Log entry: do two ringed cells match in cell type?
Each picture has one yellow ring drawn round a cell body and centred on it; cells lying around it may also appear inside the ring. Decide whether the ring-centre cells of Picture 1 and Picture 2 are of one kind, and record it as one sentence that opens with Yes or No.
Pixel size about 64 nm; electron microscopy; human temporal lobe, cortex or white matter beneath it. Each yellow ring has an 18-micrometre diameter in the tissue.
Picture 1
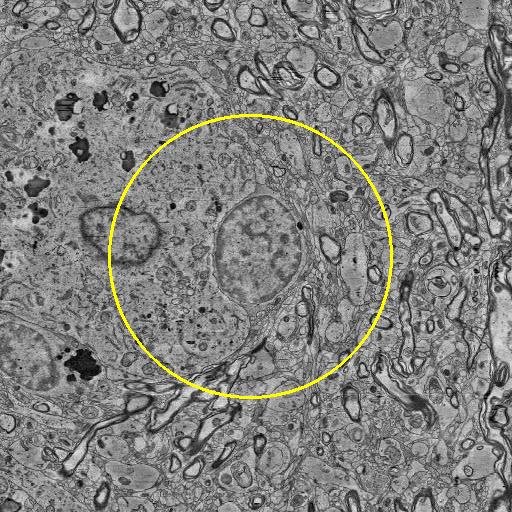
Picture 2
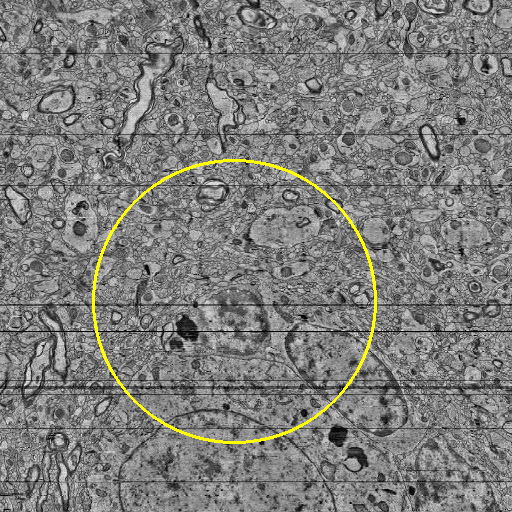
Yes, the cells at the ring centres of the two pictures belong to one kind.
